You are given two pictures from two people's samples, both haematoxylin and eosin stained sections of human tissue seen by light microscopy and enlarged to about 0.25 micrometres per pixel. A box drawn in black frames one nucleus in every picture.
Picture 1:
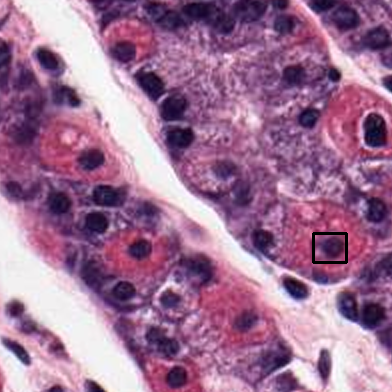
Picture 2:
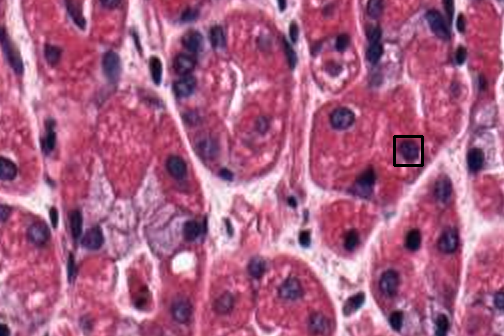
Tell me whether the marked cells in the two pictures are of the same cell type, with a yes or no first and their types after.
Yes, both are parietal cells.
